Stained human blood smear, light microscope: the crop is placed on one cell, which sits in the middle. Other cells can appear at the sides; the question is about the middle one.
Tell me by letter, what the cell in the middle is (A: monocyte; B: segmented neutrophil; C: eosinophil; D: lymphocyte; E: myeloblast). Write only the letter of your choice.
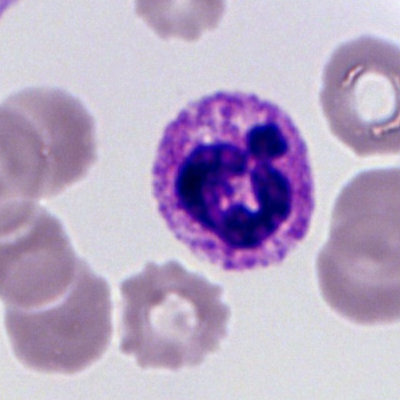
B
